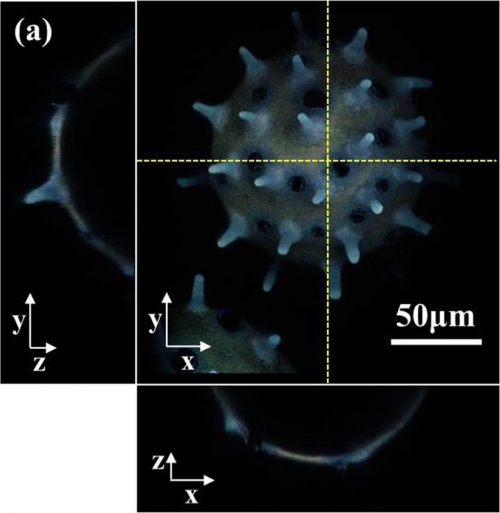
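The main view shows a round grain glowing pale blue against black, with many spines standing out from its edge and over its face. Dark circular pores are scattered between the spines across the surface. Part of a second similar grain shows at the lower left corner. The side views at left and below show a thin bright curved line, the wall of the sphere, with spines jutting from it.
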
